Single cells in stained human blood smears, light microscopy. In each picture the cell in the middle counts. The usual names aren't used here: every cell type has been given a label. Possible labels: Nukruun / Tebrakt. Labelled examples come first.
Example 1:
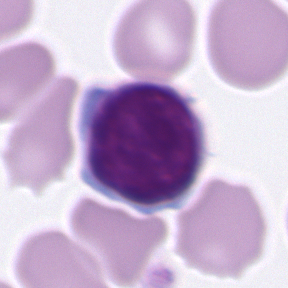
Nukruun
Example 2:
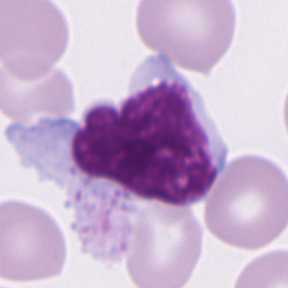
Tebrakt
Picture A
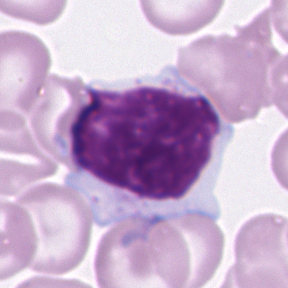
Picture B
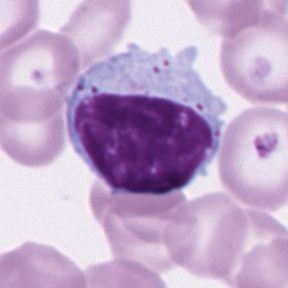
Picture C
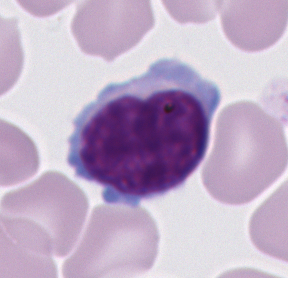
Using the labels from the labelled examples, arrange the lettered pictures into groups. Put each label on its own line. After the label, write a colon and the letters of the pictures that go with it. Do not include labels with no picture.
Nukruun: C
Tebrakt: A, B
